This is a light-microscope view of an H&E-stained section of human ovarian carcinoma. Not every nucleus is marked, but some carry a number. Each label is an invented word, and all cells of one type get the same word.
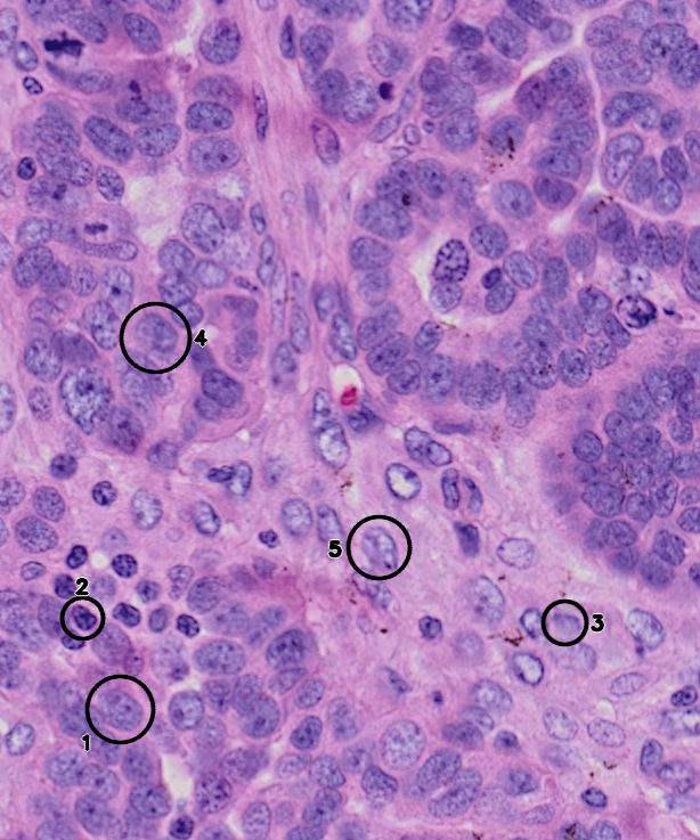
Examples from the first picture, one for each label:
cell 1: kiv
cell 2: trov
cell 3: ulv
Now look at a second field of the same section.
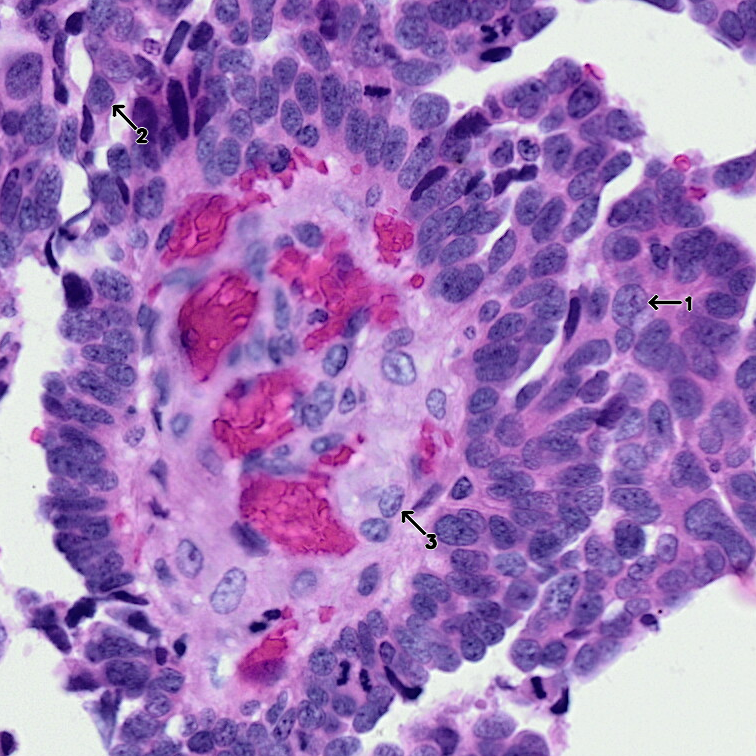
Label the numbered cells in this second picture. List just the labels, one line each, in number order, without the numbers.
kiv
kiv
ulv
